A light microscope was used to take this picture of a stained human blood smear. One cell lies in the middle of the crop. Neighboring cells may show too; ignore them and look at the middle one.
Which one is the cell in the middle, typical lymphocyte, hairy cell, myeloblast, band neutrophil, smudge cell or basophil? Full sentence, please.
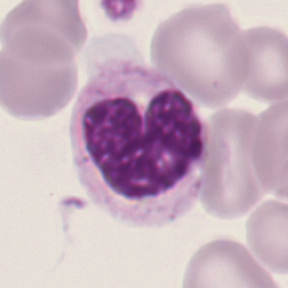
The center cell of this crop is a band neutrophil.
